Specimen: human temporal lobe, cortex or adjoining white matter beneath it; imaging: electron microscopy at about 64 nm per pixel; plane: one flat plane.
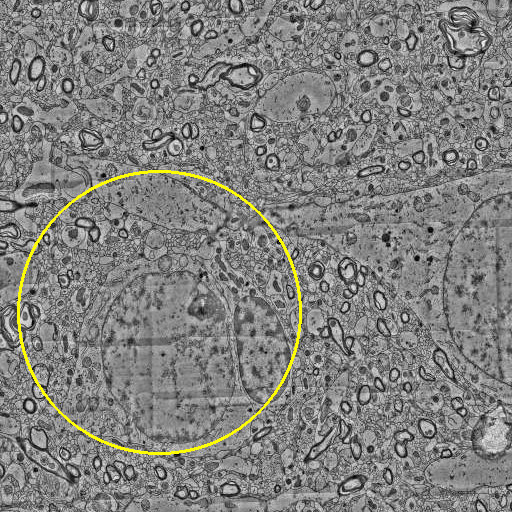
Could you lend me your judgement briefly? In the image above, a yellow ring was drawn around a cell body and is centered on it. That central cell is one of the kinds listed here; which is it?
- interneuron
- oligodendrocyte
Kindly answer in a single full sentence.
Going by the list, an interneuron is the kind at the ring's center in the picture.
